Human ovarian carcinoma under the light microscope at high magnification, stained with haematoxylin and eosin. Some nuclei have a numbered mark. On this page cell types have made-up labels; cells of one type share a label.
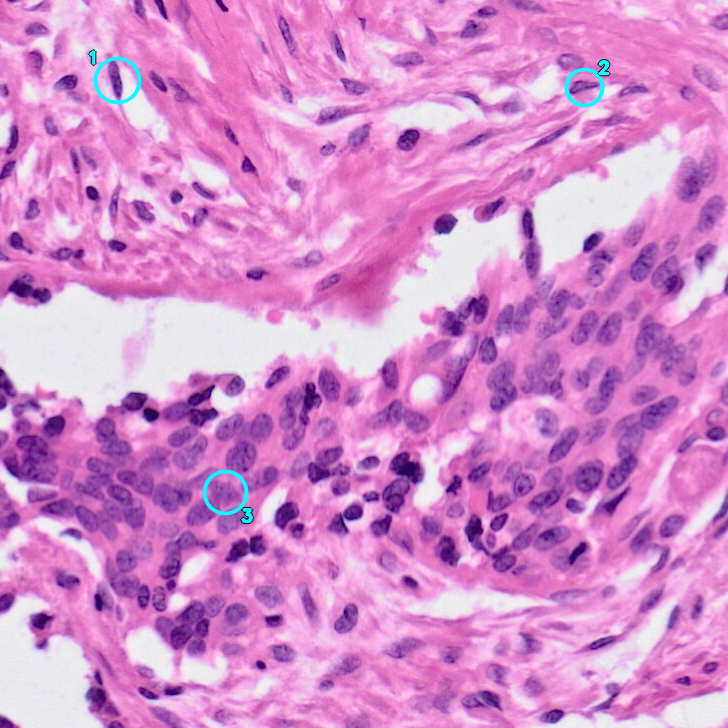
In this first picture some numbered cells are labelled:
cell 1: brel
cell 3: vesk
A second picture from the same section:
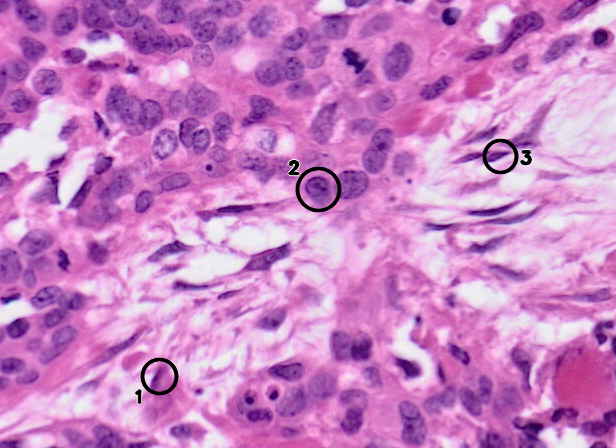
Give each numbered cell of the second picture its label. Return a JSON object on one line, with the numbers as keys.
{"1": "brel", "2": "vesk", "3": "brel"}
